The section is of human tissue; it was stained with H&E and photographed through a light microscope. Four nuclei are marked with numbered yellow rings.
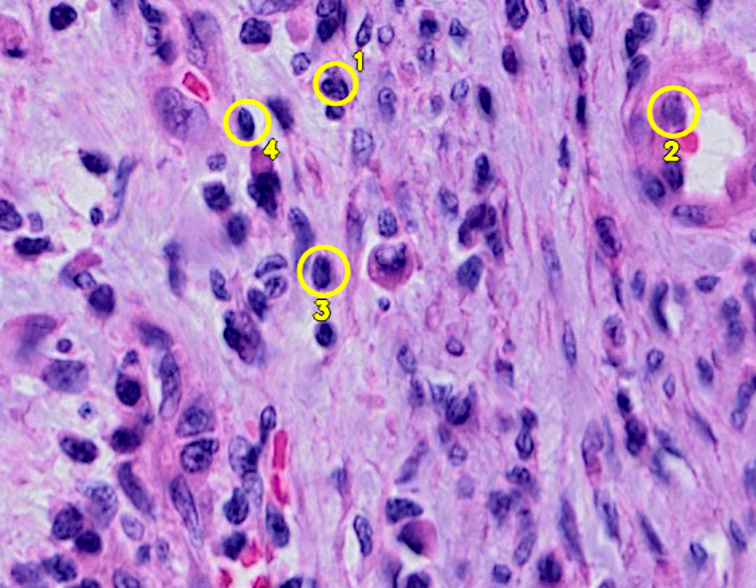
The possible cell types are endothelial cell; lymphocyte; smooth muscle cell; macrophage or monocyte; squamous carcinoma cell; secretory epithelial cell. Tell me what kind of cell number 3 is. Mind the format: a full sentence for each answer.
The cell that carries the label 3 is a lymphocyte.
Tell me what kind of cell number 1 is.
The cell pointed out by number 1 is a lymphocyte.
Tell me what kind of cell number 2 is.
In this section, number 2 marks an endothelial cell.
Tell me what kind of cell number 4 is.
The marked cell with the number 4 is recognised as a lymphocyte.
